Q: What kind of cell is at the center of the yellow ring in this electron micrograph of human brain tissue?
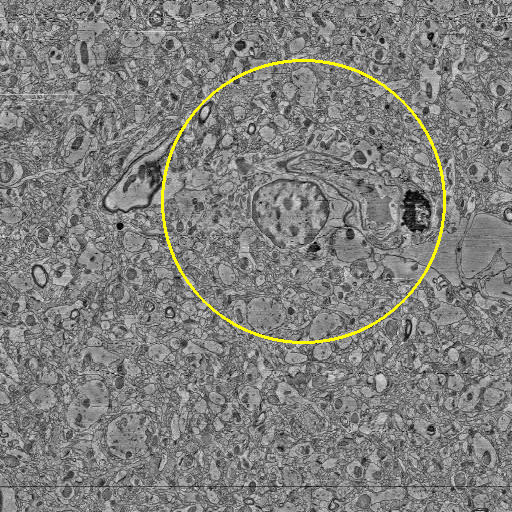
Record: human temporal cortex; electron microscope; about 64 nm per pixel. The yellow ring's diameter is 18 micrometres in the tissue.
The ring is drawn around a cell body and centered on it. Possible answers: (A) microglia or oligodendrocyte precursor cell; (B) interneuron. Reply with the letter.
A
